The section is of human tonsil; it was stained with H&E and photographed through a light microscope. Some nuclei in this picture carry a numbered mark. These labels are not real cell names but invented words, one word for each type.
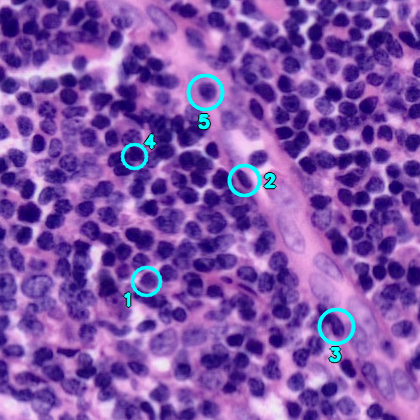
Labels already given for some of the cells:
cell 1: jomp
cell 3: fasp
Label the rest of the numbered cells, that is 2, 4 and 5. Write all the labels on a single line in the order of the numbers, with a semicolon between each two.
fasp; jomp; fasp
